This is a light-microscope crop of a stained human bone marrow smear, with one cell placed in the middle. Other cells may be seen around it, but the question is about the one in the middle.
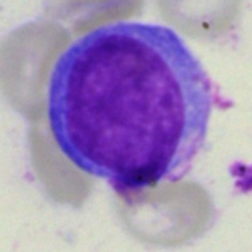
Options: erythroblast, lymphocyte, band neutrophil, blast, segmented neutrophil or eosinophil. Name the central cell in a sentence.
Standing at the centre of this crop is a blast.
